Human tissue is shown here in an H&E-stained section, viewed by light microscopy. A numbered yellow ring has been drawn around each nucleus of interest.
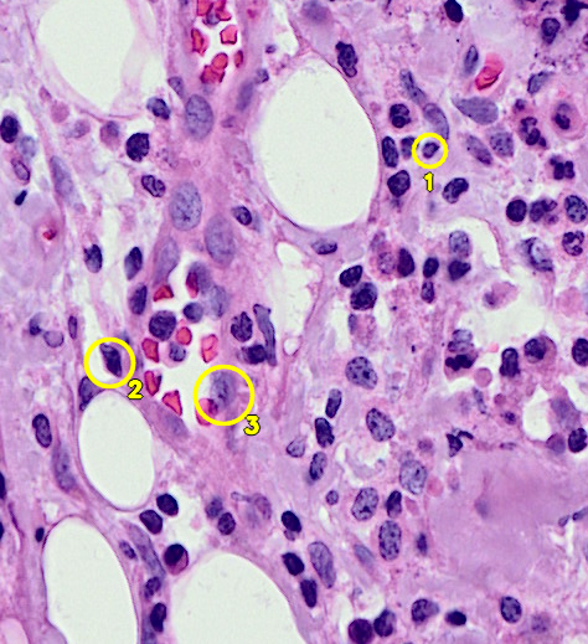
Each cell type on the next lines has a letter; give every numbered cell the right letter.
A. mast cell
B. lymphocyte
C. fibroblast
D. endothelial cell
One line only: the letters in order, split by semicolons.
B; B; D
